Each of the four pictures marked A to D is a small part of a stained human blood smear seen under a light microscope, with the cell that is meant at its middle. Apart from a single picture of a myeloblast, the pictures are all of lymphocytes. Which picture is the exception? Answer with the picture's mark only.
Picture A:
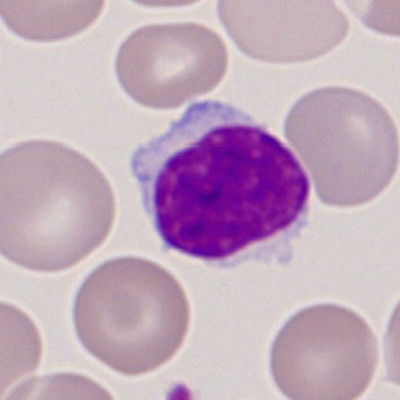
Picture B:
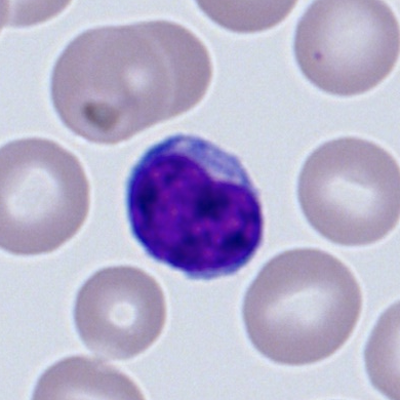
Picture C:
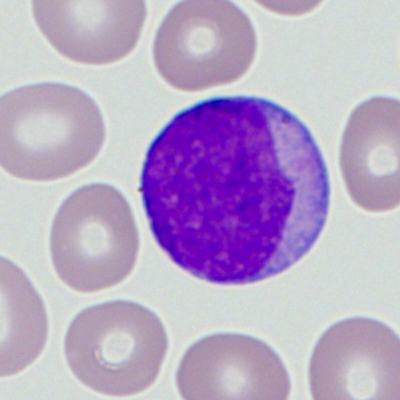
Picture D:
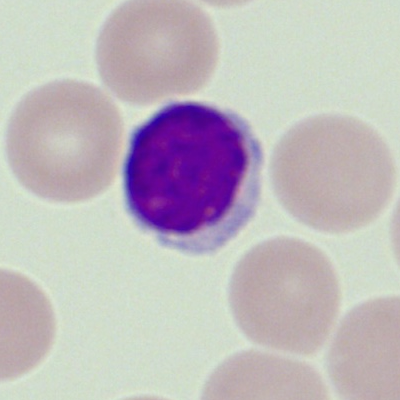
C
